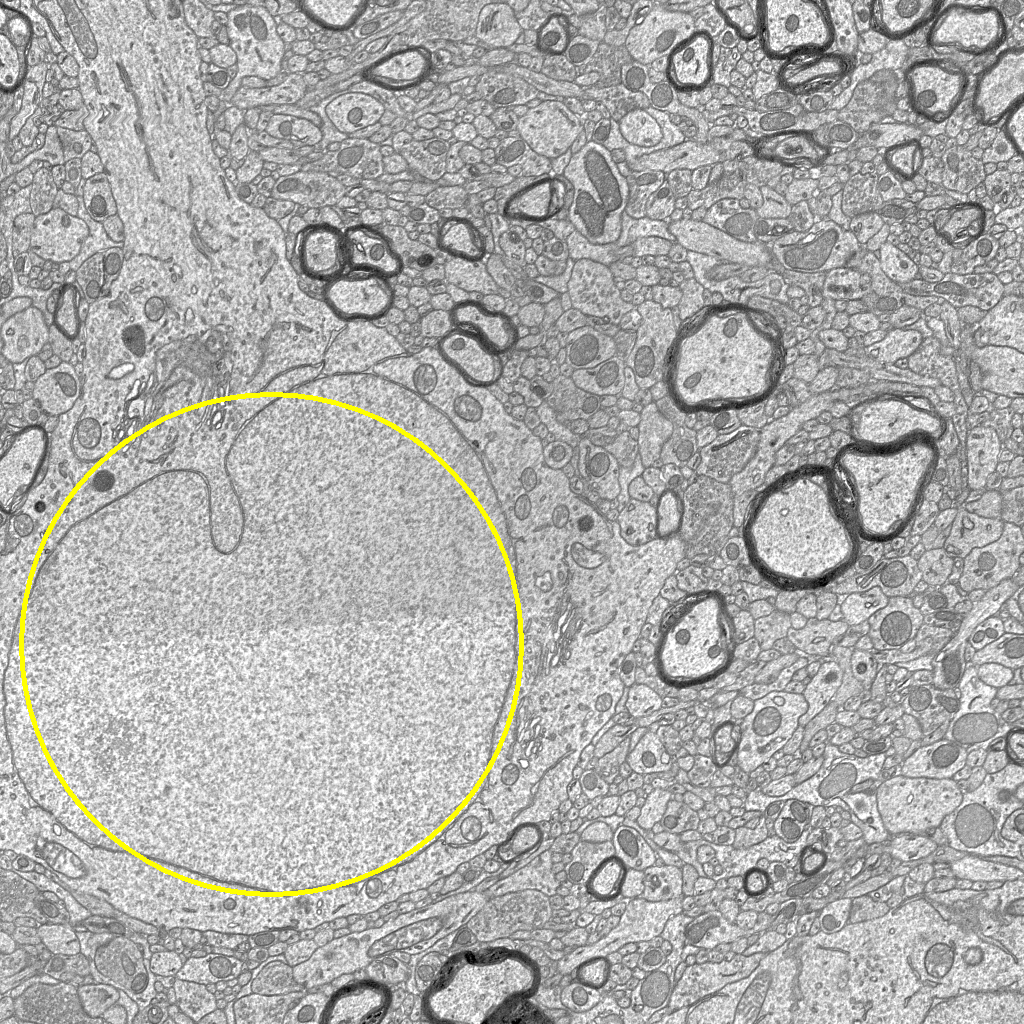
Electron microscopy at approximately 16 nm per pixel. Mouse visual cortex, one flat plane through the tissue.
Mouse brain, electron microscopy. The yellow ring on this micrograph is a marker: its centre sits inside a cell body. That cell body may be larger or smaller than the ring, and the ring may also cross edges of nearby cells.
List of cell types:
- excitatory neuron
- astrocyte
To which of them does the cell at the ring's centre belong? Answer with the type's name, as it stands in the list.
excitatory neuron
